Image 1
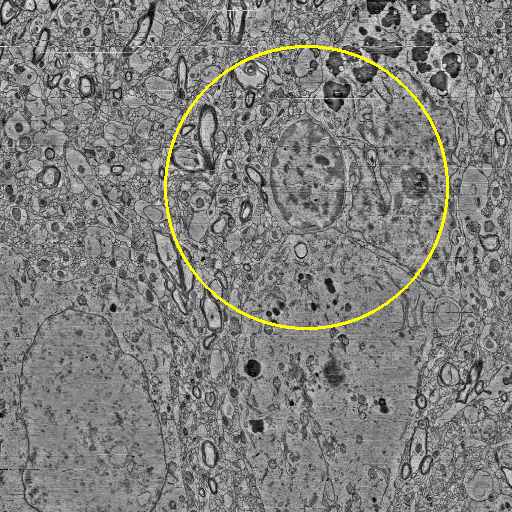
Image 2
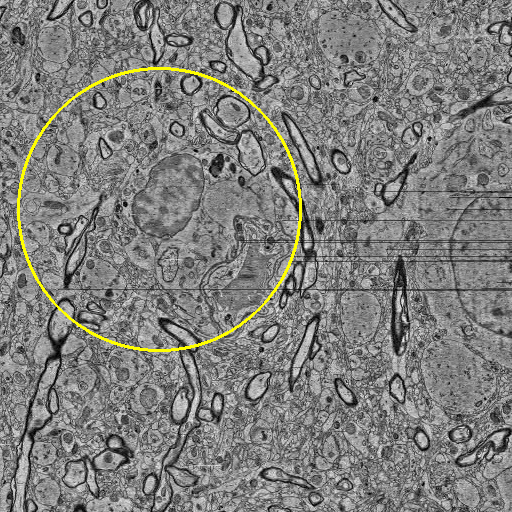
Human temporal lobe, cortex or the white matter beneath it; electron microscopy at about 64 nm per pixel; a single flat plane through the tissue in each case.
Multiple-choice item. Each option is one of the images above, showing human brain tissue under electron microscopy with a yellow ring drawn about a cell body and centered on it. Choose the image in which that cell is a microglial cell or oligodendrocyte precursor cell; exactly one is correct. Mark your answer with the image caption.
Image 2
